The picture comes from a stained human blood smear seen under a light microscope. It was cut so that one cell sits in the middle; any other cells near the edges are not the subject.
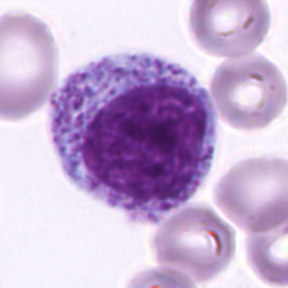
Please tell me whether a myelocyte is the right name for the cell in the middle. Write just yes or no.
yes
